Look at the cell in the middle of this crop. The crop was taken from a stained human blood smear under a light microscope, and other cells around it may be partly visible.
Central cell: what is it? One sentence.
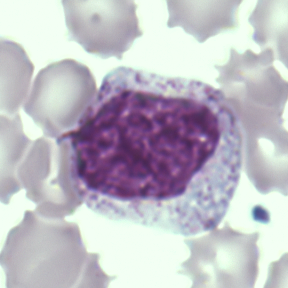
In the middle of this smear crop is a myelocyte.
